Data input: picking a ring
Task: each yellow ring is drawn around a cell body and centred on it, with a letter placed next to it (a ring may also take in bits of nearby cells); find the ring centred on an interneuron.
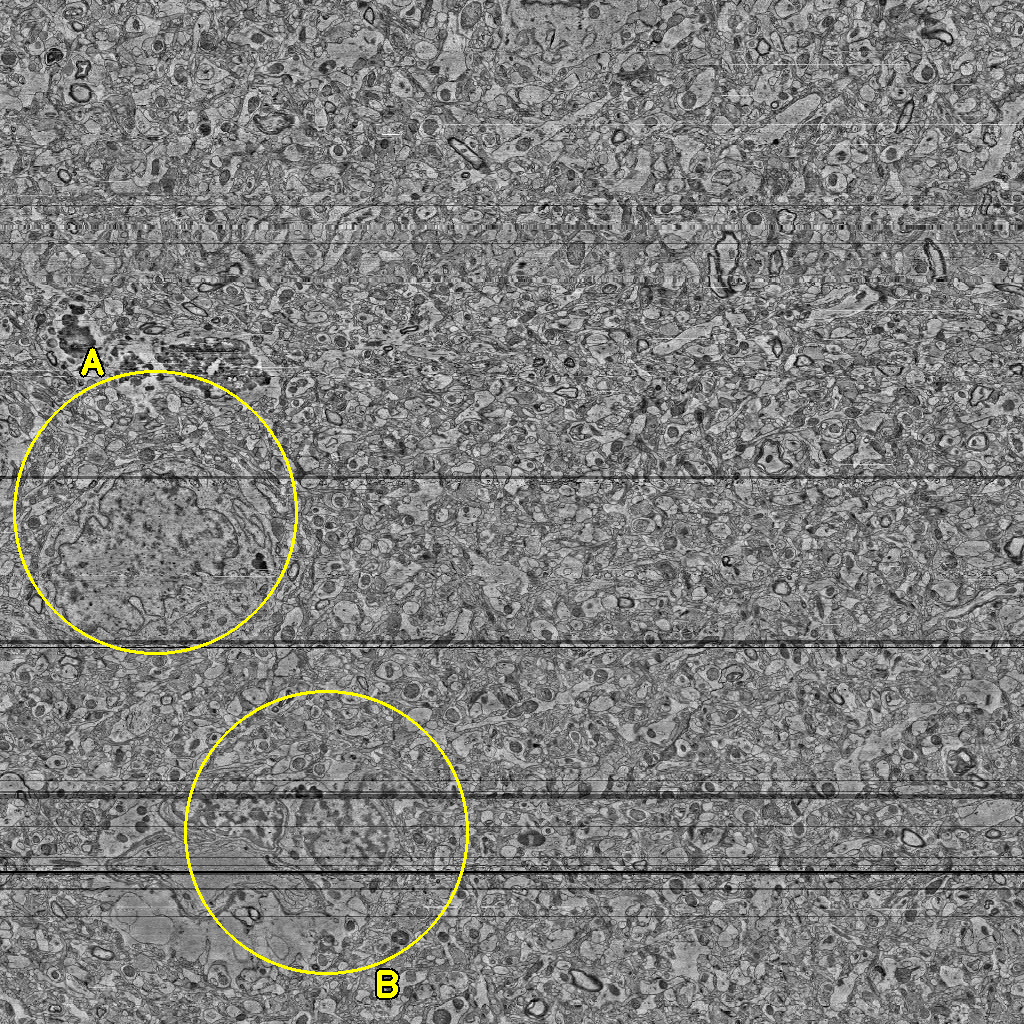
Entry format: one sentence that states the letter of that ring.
In the picture, the cell asked for sits at the centre of ring A.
